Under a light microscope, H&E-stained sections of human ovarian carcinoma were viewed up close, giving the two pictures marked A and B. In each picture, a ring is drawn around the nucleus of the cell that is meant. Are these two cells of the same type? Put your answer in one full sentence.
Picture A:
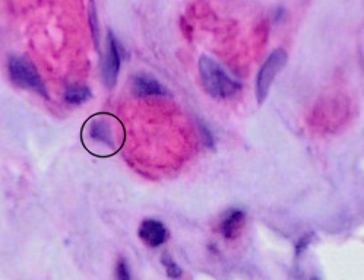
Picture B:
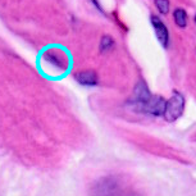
No; the cell in picture A is an endothelial cell, while the one in picture B is a smooth muscle cell.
